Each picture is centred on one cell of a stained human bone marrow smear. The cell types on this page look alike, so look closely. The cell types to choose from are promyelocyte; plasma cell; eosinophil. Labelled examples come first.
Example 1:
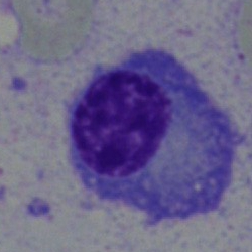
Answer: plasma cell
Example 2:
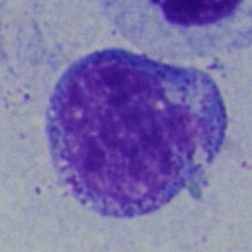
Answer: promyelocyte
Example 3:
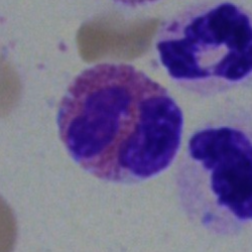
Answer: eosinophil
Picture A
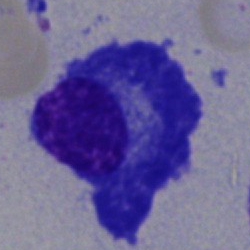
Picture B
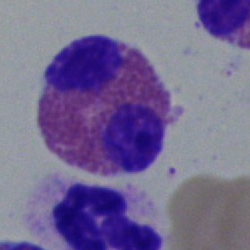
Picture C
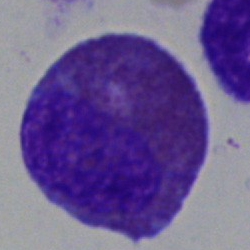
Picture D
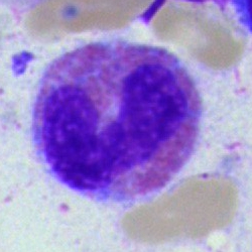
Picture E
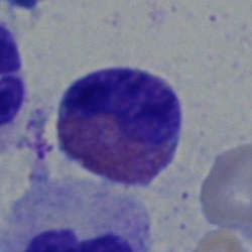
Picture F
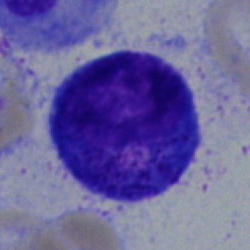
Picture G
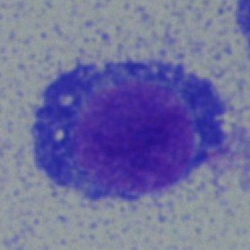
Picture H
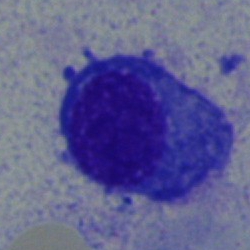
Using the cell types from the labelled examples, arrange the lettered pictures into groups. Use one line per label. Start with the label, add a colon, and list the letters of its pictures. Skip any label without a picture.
promyelocyte: F
plasma cell: A, G, H
eosinophil: B, C, D, E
